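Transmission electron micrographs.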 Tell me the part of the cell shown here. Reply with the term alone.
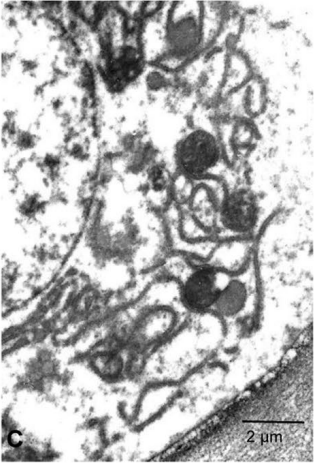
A: Rough endoplasmic reticulum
